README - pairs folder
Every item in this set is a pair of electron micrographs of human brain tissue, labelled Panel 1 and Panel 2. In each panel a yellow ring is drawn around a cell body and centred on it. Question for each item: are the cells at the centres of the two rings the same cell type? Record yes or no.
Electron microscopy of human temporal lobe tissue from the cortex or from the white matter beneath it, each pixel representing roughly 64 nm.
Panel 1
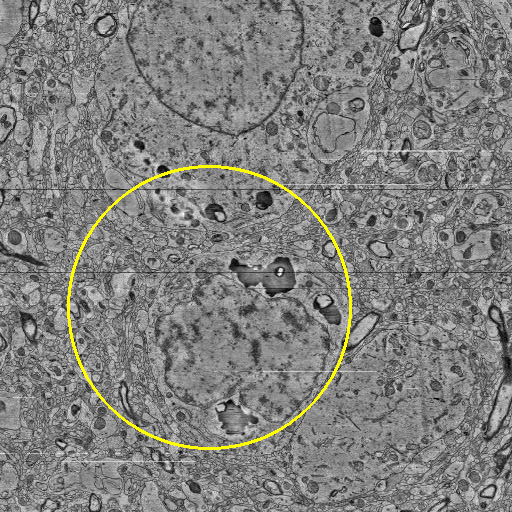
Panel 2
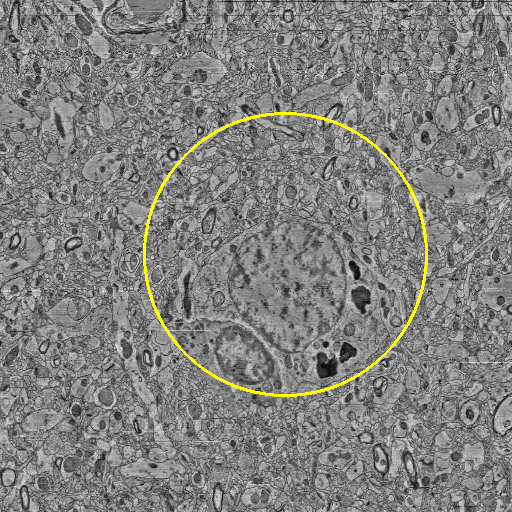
yes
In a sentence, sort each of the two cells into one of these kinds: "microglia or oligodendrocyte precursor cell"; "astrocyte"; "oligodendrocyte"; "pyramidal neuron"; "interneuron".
Each one of the two ringed cells is an interneuron.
